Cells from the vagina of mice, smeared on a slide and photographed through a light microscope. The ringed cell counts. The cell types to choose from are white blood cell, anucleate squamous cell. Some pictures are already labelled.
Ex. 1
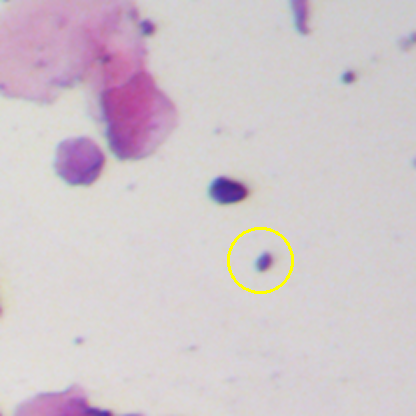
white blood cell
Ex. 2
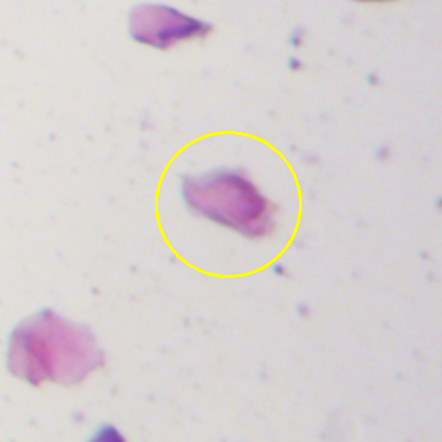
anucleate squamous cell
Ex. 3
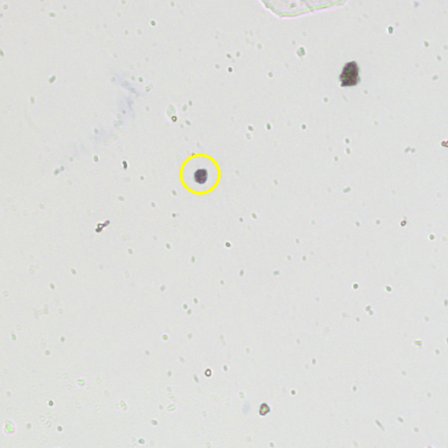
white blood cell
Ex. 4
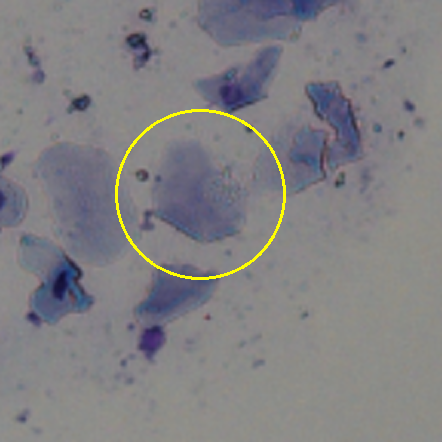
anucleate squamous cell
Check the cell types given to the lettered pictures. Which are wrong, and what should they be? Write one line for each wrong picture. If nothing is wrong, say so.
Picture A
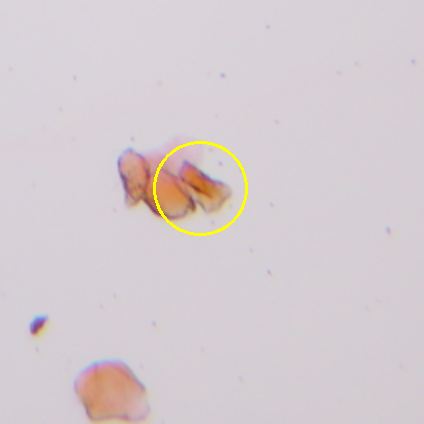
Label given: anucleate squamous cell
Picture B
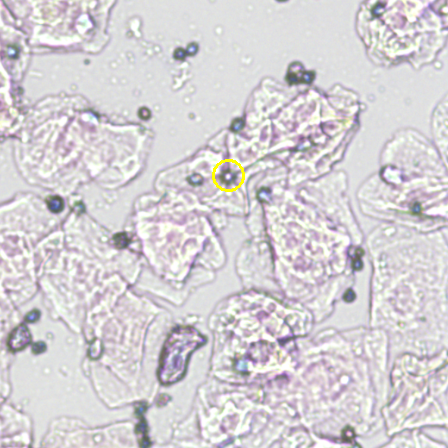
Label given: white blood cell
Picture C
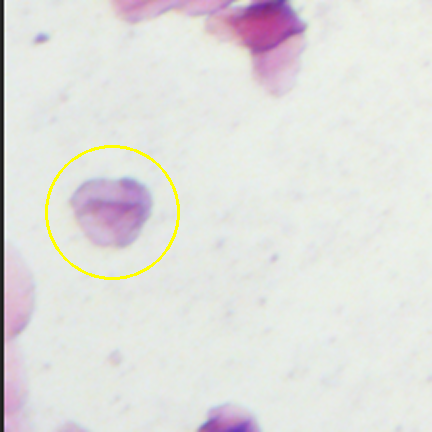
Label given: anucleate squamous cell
Every label is right.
